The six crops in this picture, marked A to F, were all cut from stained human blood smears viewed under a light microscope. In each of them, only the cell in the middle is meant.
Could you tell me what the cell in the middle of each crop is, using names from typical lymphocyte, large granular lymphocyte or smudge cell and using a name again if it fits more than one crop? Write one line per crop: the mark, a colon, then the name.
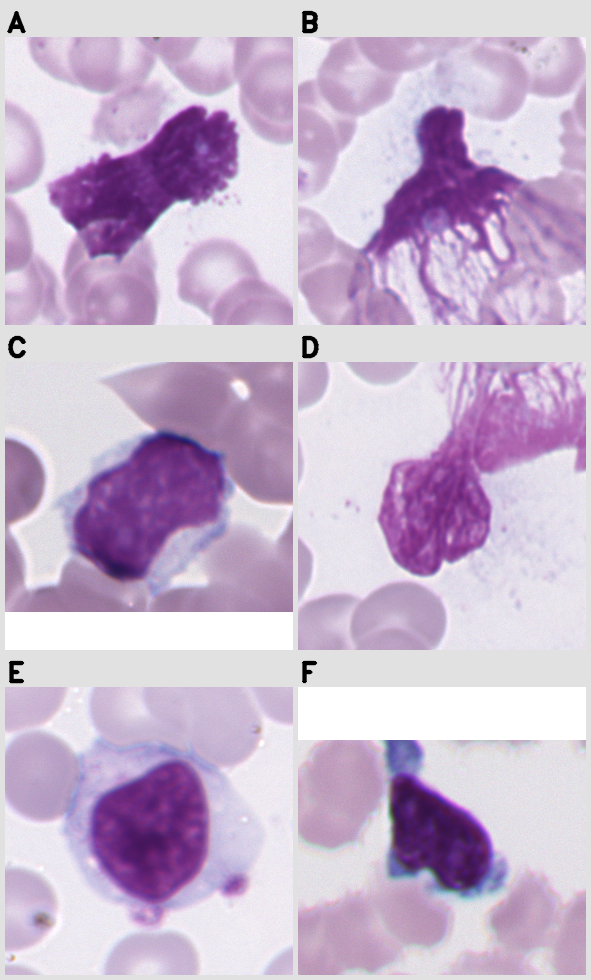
A: smudge cell
B: smudge cell
C: typical lymphocyte
D: smudge cell
E: large granular lymphocyte
F: typical lymphocyte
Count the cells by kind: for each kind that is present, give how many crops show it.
smudge cell: 3
typical lymphocyte: 2
large granular lymphocyte: 1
